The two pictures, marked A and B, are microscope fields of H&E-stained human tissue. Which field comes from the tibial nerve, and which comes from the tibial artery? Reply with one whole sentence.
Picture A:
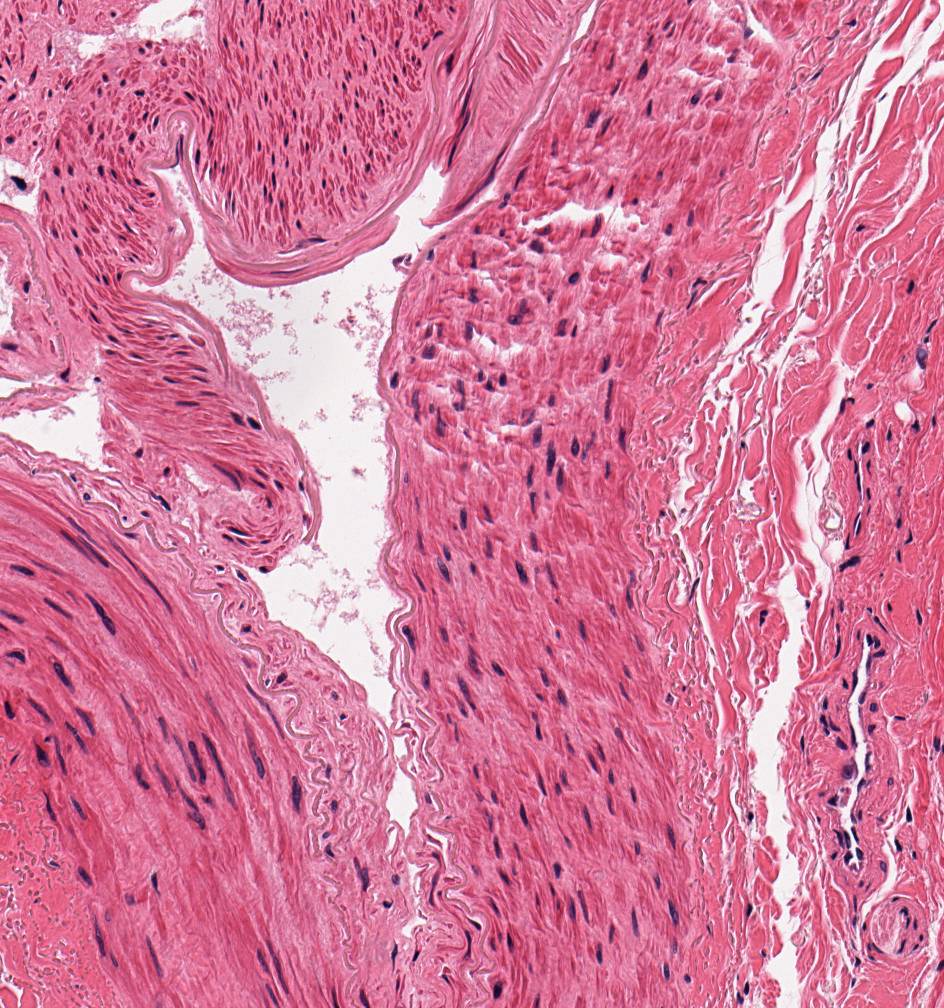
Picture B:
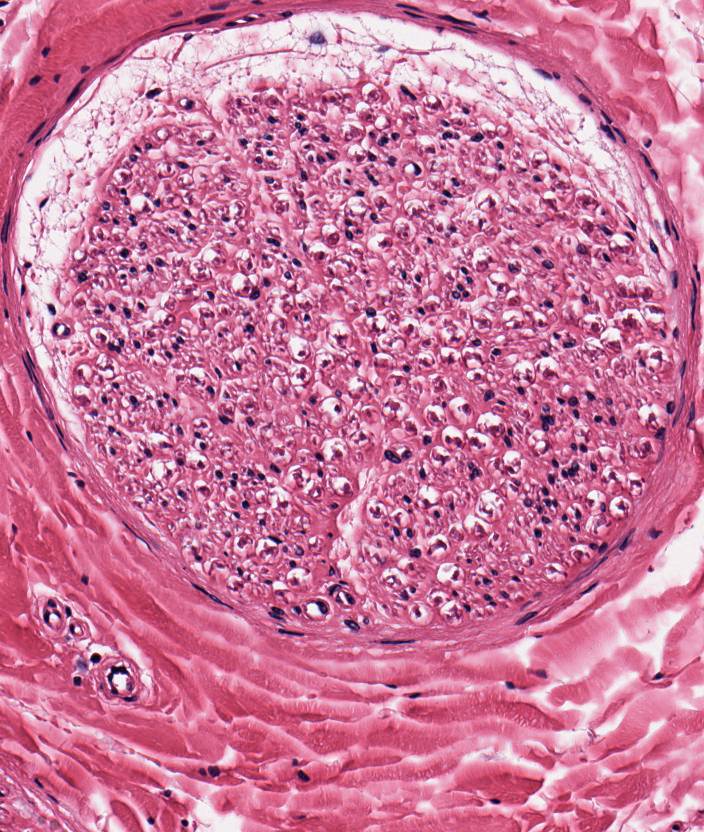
Picture A comes from the tibial artery; picture B comes from the tibial nerve.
